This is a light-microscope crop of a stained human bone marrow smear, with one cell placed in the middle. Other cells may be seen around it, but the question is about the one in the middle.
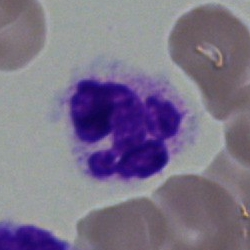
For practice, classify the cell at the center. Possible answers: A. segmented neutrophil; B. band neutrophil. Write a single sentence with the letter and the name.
Option A is correct here, and the cell in the middle is a segmented neutrophil.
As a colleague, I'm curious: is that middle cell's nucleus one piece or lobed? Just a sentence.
Nuclear material here is separated into two or more segments.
